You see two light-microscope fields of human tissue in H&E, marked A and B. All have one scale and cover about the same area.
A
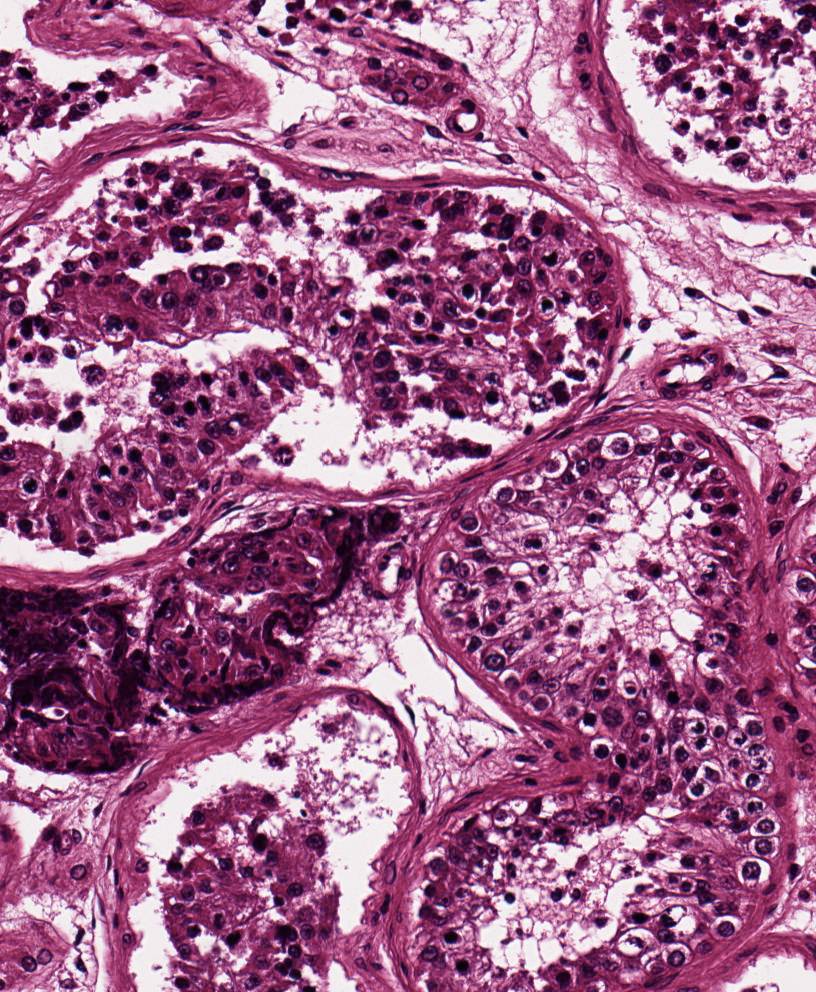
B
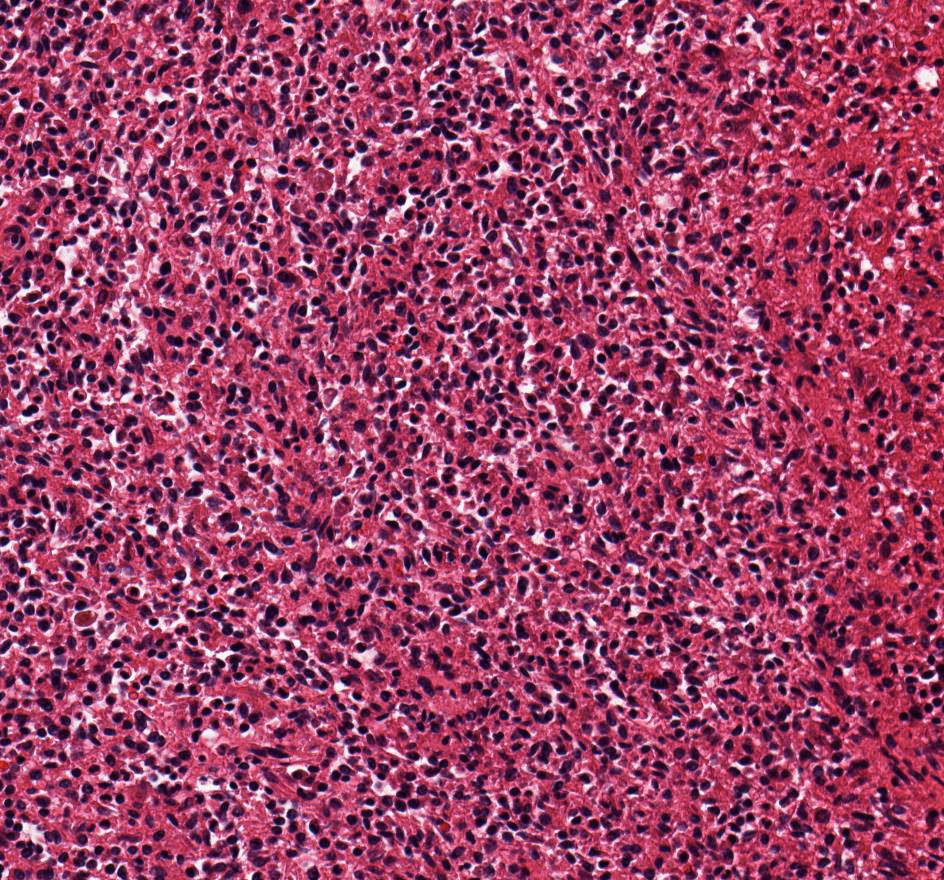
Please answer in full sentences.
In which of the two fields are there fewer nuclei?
Fewer nuclei lie in field A than in field B.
